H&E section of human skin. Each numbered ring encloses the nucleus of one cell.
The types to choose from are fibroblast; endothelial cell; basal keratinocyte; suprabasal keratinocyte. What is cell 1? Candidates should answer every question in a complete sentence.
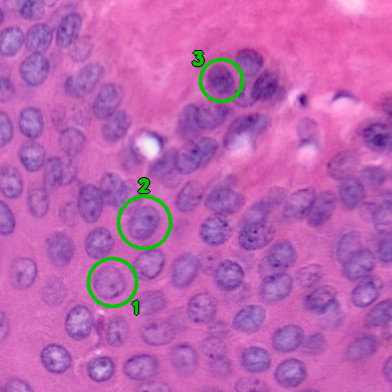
In this section, the cell numbered 1 is a suprabasal keratinocyte.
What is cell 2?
At number 2, the marked cell is a suprabasal keratinocyte.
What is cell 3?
The nucleus with number 3 is that of a basal keratinocyte.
